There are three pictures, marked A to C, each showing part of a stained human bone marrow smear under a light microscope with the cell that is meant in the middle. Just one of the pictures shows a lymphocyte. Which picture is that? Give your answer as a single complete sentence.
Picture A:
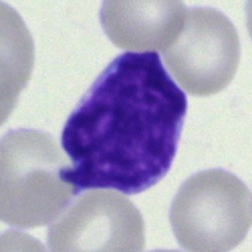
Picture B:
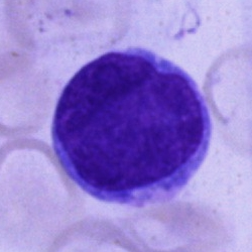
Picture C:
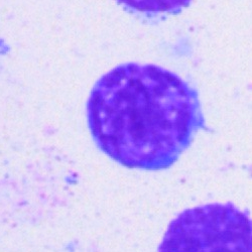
Picture C shows the lymphocyte.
